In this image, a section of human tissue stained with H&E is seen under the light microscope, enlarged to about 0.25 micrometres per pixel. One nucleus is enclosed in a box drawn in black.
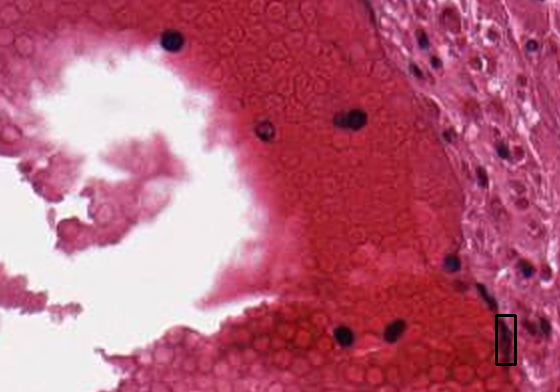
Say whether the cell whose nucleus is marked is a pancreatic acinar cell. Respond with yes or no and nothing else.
no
